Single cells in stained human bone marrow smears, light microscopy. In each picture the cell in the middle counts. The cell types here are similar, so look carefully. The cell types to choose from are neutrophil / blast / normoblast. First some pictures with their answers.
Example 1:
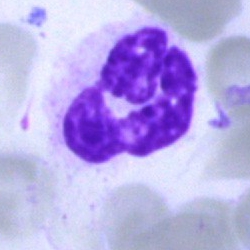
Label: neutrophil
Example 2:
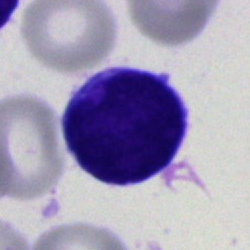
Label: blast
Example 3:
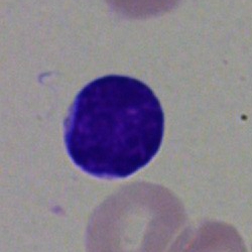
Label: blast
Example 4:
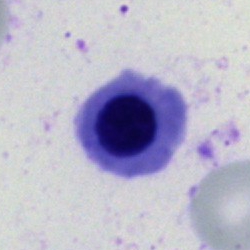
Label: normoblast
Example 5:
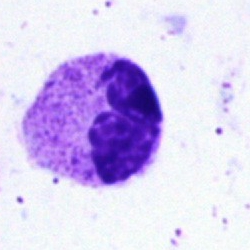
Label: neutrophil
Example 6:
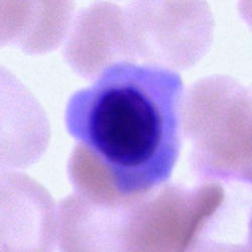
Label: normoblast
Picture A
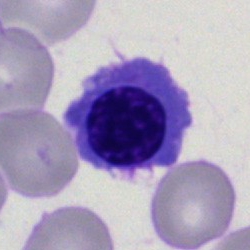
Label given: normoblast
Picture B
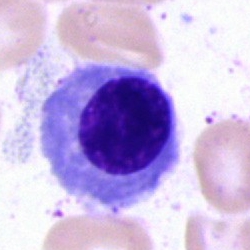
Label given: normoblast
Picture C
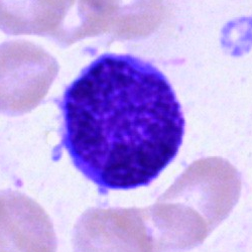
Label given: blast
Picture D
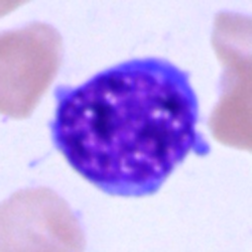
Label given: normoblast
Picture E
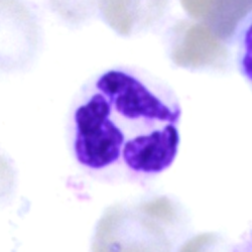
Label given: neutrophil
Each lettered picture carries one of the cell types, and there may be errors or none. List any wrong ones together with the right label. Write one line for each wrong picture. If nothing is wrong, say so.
D is labelled normoblast; correct label: blast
